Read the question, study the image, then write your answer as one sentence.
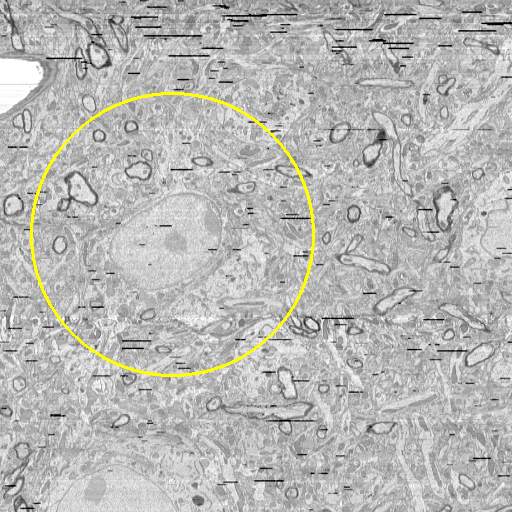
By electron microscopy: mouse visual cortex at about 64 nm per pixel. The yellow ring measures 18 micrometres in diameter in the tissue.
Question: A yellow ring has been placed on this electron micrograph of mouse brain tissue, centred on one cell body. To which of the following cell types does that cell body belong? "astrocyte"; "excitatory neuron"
That cell body belongs to an astrocyte.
